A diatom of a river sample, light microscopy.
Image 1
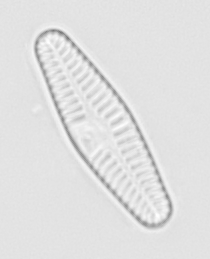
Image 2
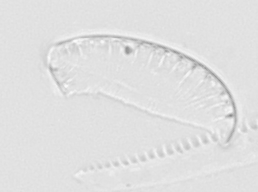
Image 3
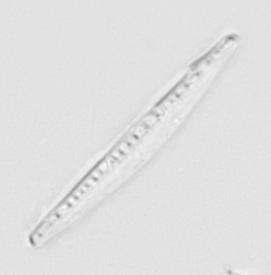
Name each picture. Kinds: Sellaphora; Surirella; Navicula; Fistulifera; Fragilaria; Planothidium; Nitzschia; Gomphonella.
1. Planothidium
2. Surirella
3. Nitzschia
